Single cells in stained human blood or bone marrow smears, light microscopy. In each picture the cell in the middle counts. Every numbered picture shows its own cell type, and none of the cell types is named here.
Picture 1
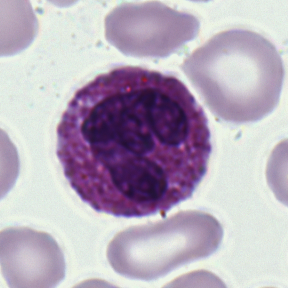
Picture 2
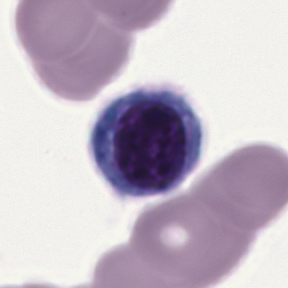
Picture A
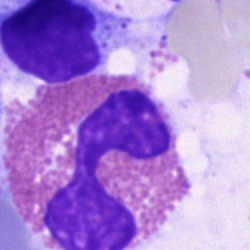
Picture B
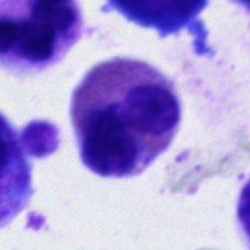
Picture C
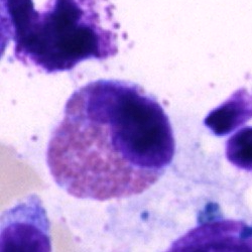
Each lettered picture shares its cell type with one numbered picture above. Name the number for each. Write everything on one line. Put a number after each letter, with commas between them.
A 1, B 1, C 1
